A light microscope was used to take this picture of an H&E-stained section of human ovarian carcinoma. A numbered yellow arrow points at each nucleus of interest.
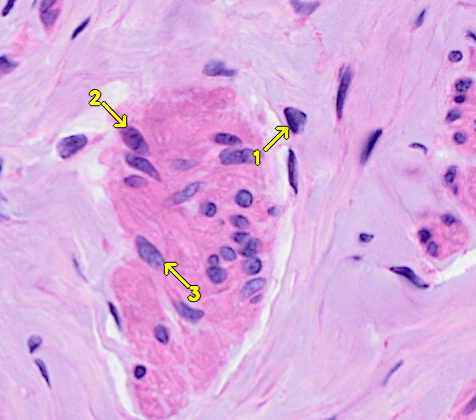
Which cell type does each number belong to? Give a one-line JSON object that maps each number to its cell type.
{"1": "fibroblast", "2": "smooth muscle cell", "3": "smooth muscle cell"}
